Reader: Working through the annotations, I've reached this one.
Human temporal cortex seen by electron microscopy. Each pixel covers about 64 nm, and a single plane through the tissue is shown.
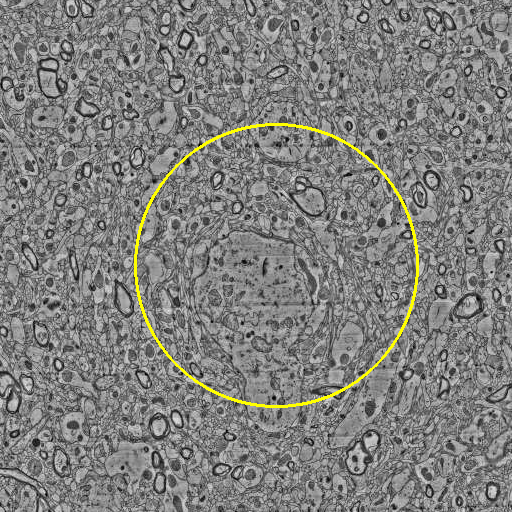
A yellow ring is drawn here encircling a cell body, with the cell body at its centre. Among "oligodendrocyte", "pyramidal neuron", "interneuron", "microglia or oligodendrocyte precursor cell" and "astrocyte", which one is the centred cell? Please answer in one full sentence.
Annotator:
The cell body at the centre of the yellow ring in this image belongs to a microglial cell or oligodendrocyte precursor cell.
